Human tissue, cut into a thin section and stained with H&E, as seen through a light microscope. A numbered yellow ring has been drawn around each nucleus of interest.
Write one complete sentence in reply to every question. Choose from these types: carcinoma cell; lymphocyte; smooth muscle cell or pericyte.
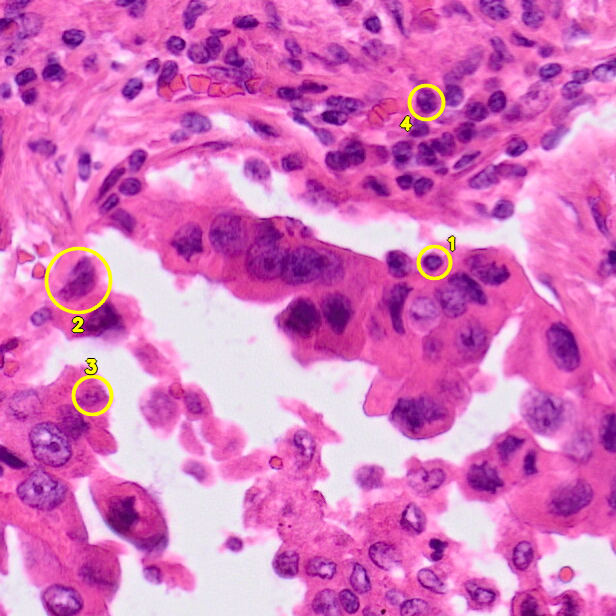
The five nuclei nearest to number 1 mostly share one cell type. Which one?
Around number 1, most of the five nearest nuclei are those of carcinoma cells.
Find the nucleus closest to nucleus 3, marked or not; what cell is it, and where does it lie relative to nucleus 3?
The nearest one is a carcinoma cell, found below and to the left of nucleus 3.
